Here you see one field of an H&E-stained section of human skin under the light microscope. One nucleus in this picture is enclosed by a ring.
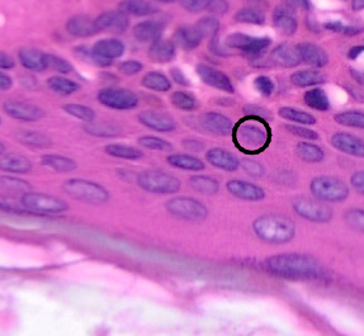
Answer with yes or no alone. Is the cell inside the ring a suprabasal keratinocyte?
no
